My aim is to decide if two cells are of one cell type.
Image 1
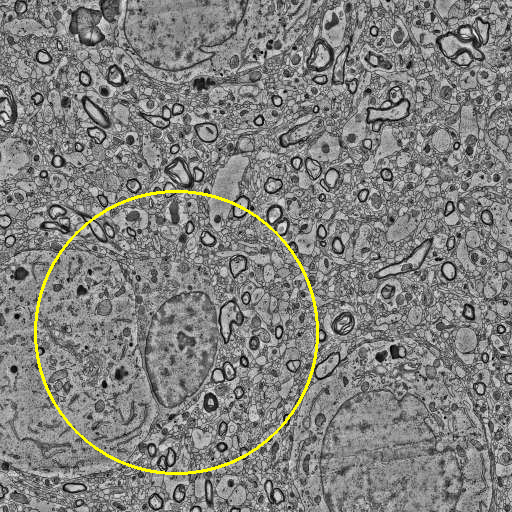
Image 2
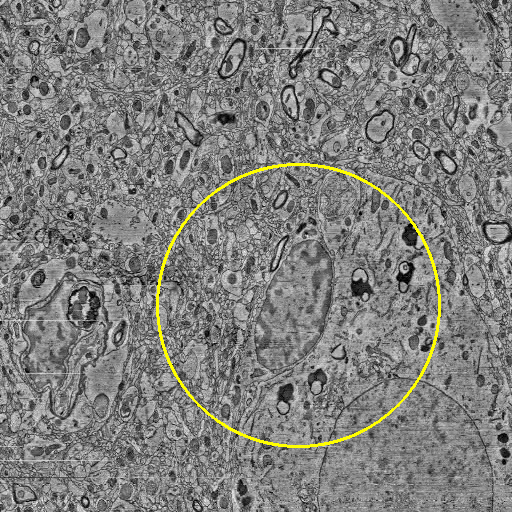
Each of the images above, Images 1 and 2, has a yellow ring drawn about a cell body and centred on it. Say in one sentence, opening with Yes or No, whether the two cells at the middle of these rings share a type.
Yes, in Images 1 and 2 the cells at the middle of the rings share one type.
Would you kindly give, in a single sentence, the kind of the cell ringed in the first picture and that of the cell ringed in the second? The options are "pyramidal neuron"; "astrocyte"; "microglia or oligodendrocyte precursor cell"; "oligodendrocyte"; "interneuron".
Each of the two rings surrounds an oligodendrocyte.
